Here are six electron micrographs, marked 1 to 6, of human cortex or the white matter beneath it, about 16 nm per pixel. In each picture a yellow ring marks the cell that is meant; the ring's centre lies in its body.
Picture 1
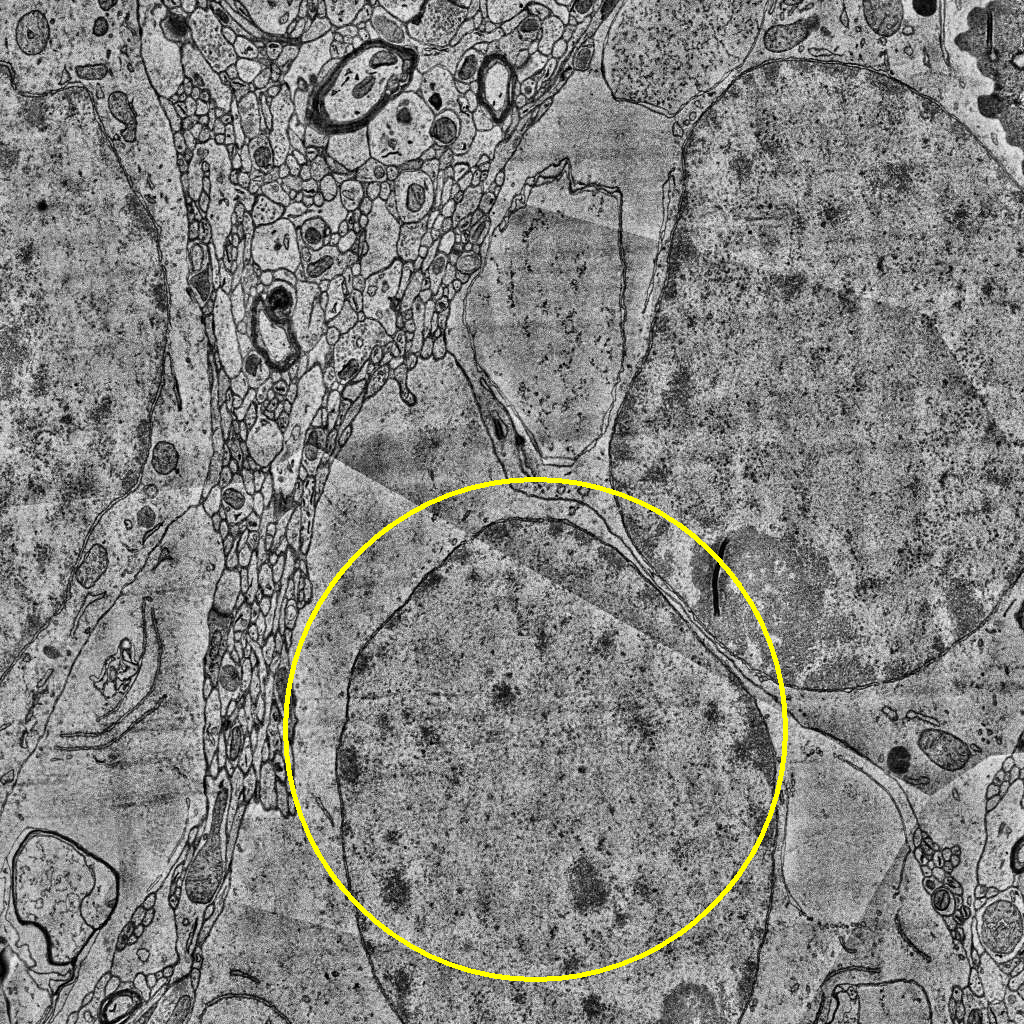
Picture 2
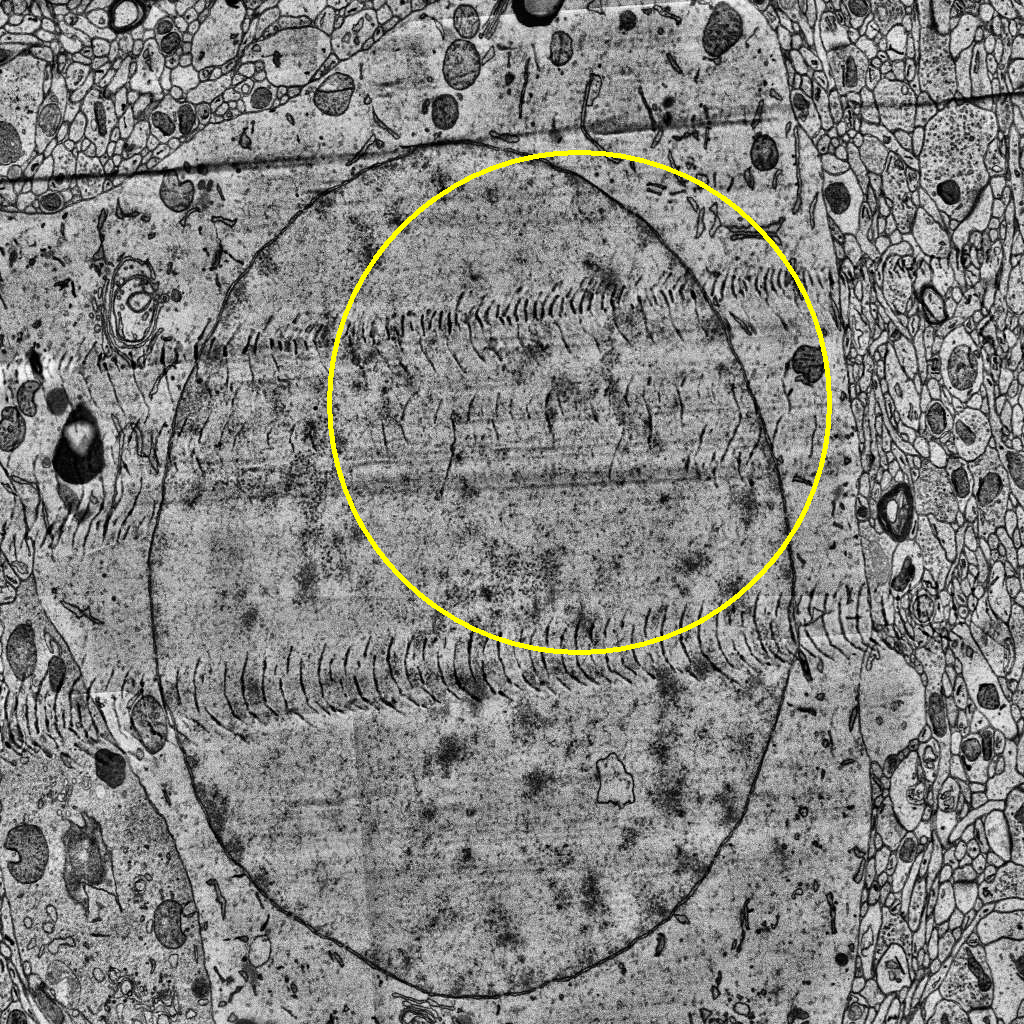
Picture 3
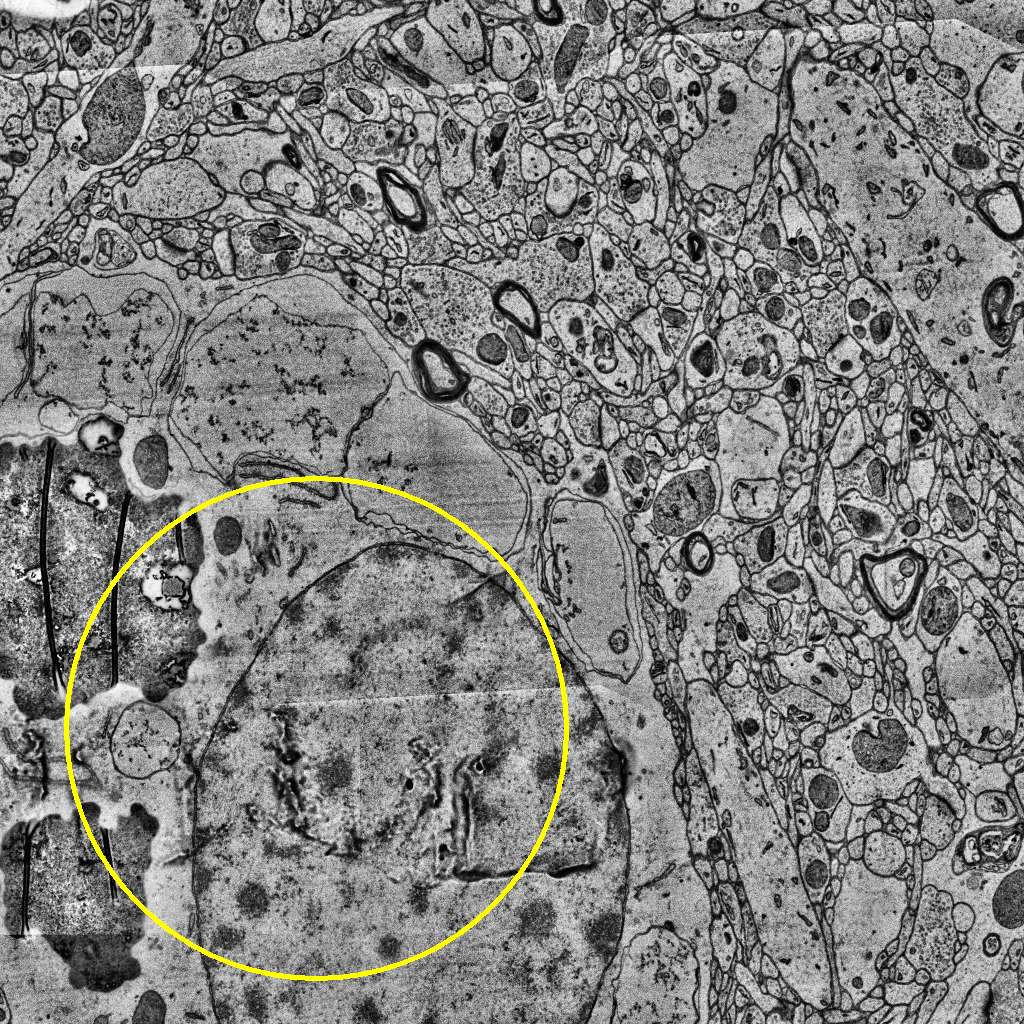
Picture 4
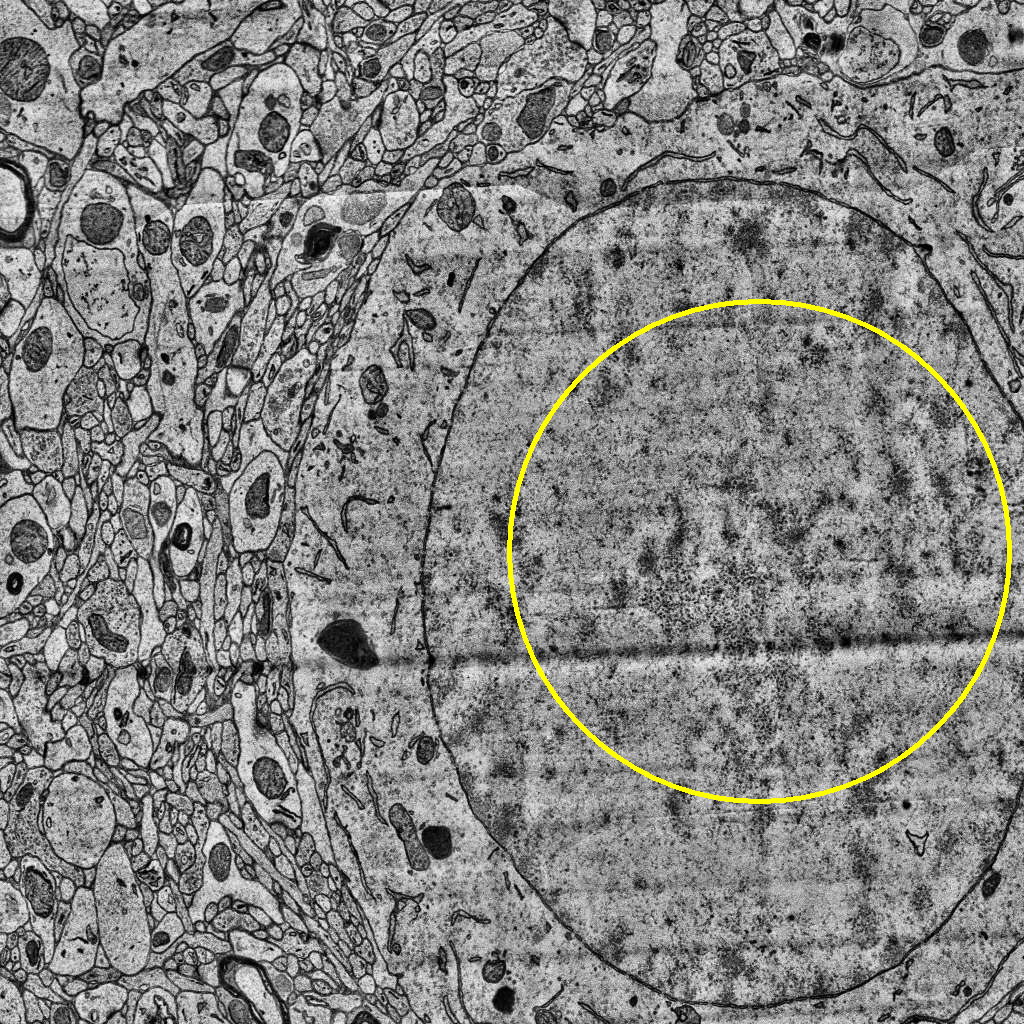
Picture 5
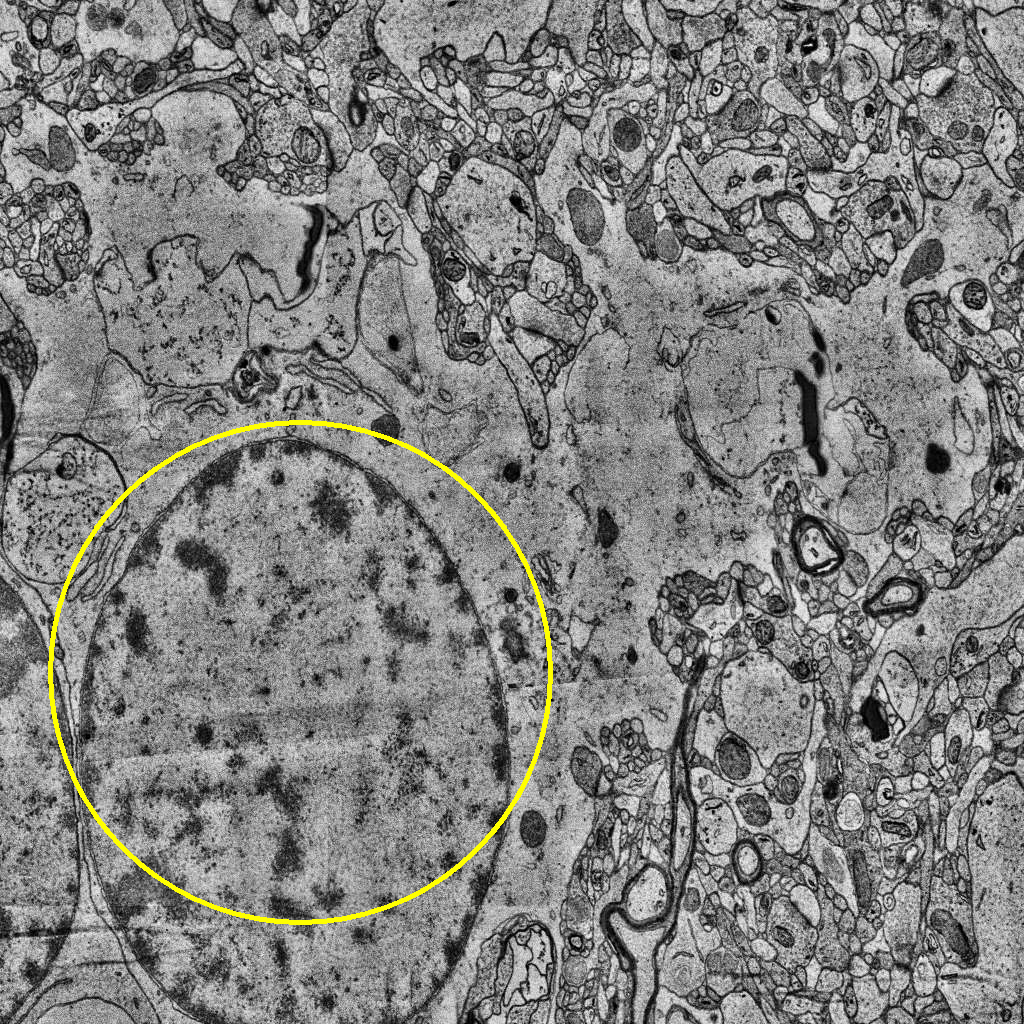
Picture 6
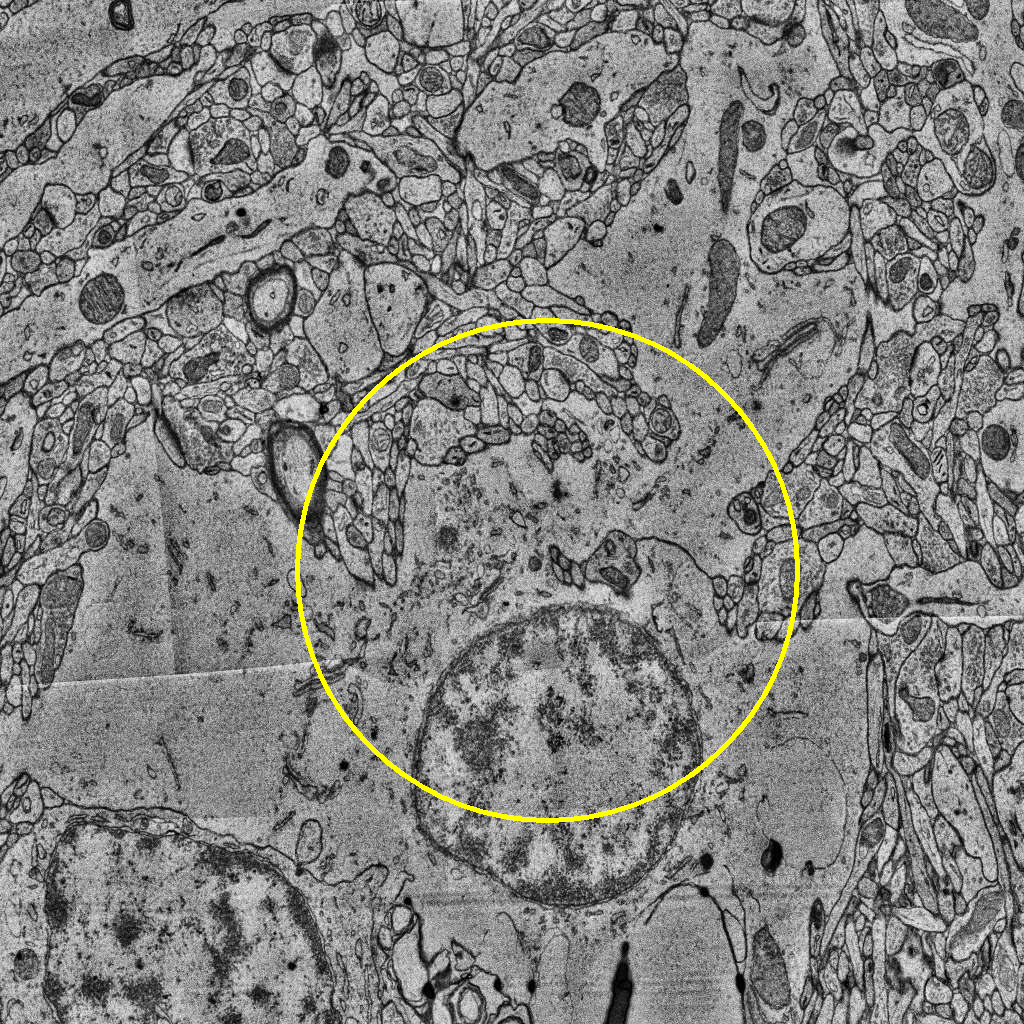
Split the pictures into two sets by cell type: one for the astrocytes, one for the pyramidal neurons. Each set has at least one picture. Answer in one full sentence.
Pictures 1, 3, 5 and 6 show astrocytes, while pictures 2 and 4 show pyramidal neurons.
